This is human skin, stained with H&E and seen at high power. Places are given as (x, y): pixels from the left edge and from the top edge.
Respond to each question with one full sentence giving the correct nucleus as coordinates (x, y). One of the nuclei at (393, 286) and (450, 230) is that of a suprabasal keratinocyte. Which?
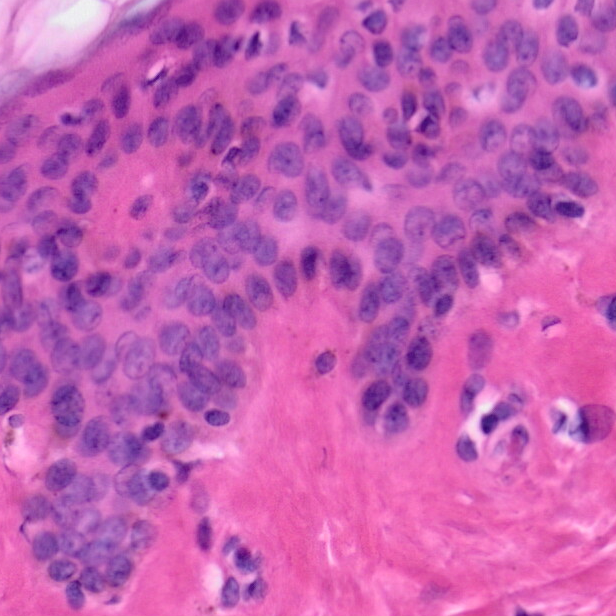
That would be the nucleus at (450, 230); it belongs to a suprabasal keratinocyte.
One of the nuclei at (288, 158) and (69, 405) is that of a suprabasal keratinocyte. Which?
Of the two nuclei, the nucleus of a suprabasal keratinocyte is at (288, 158).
